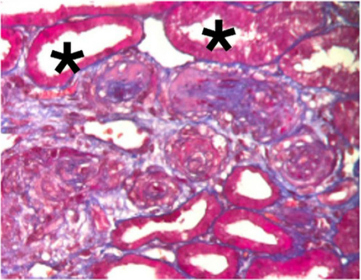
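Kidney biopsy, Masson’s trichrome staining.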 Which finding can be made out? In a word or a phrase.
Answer: Marked intimal thickening of interlobular arteries.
